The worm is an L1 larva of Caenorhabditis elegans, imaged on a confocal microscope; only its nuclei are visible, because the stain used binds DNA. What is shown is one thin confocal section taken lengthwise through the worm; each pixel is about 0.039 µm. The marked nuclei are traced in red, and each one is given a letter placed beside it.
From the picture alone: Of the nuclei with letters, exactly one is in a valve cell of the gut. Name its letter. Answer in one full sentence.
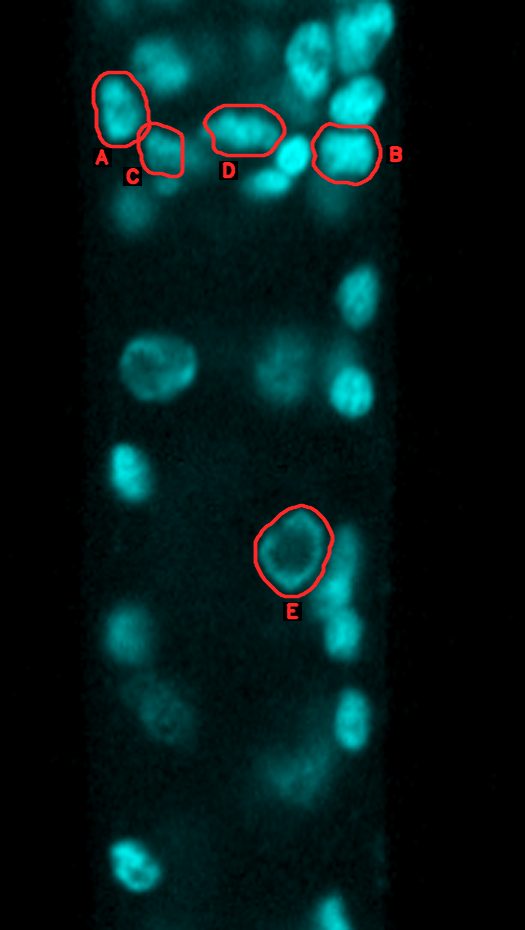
Nucleus C belongs to a valve cell of the gut.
